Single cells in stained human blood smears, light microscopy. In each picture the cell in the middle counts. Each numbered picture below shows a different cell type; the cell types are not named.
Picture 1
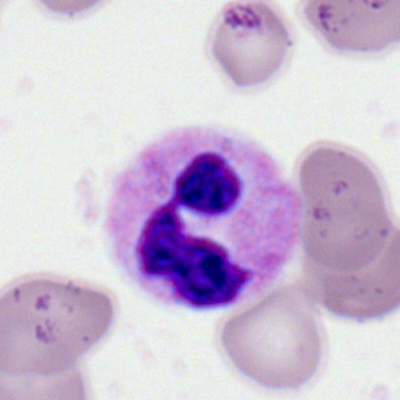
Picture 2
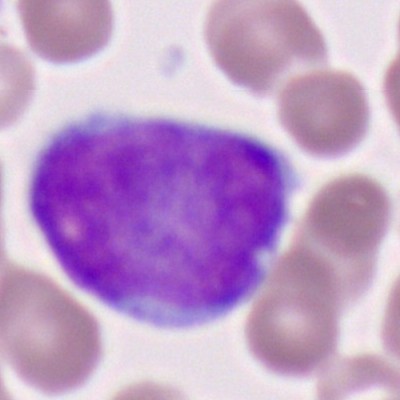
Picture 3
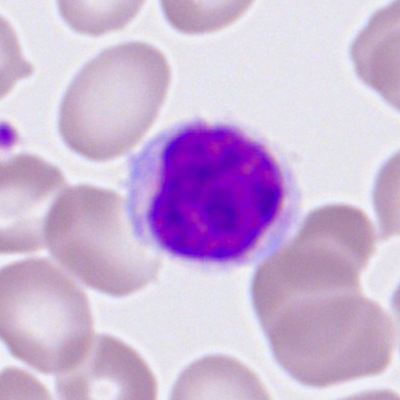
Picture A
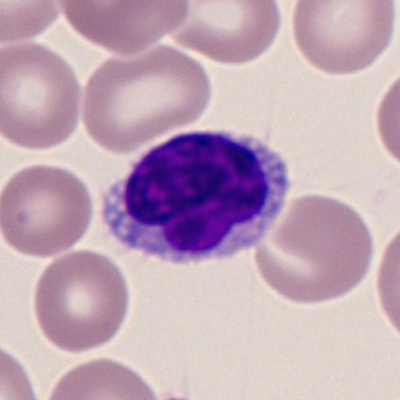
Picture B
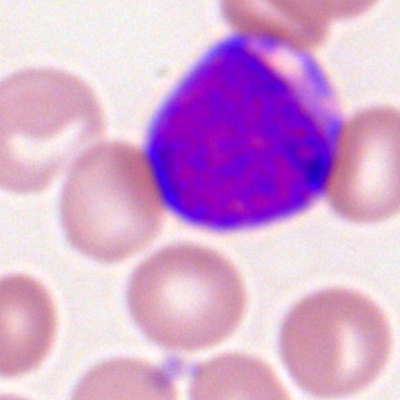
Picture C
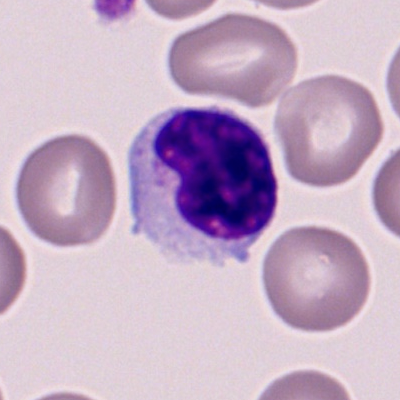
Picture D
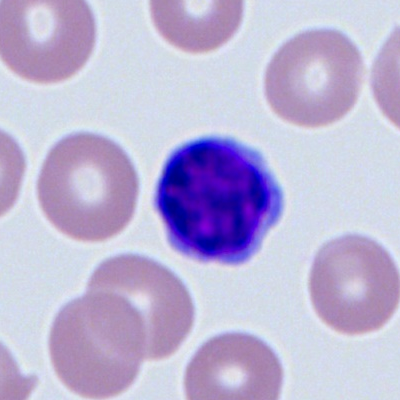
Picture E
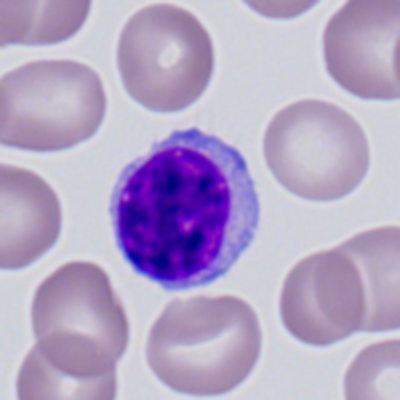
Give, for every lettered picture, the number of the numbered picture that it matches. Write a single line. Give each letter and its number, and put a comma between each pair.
A 3, B 2, C 3, D 3, E 3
